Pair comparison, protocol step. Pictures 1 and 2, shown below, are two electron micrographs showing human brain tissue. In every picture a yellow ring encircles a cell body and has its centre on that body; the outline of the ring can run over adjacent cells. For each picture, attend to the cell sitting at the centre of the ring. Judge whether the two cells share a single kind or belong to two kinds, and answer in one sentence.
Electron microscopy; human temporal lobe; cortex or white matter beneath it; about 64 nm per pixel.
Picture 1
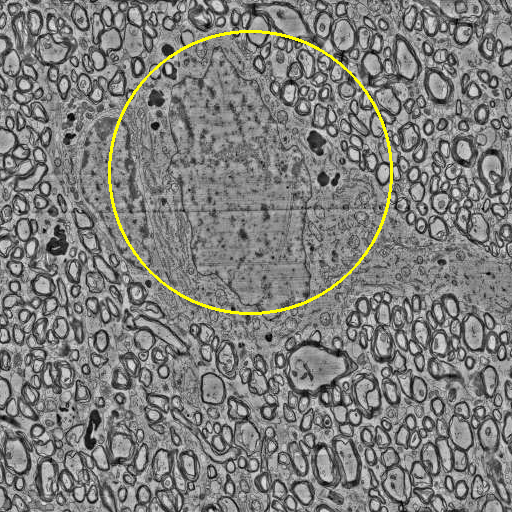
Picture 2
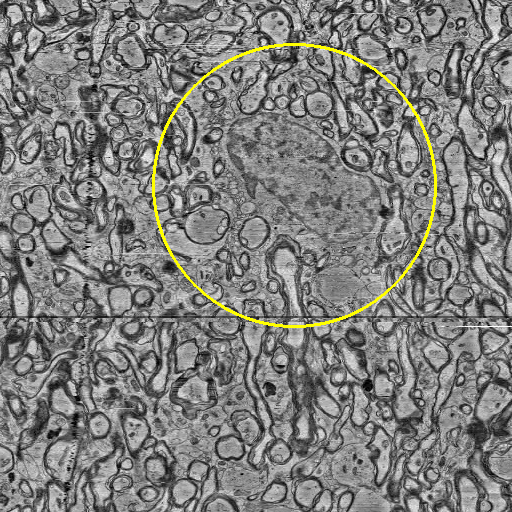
The two cells at the ring centres in Picture 1 and Picture 2 belong to two kinds.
